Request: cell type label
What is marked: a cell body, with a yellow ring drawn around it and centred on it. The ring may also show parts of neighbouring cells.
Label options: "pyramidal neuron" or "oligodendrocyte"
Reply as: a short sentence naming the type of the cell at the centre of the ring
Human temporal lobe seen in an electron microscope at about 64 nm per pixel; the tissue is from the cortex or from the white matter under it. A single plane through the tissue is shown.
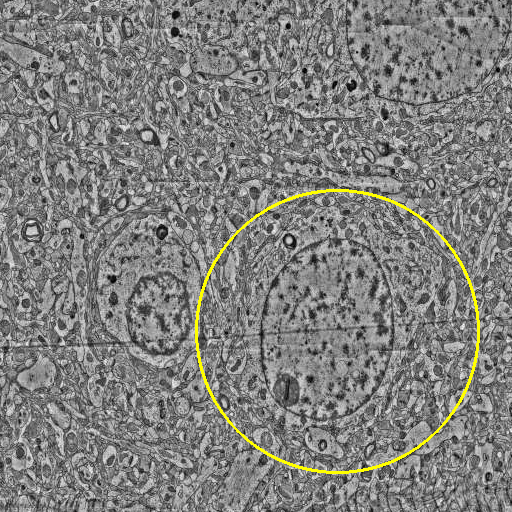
The marked cell body is that of a pyramidal neuron.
